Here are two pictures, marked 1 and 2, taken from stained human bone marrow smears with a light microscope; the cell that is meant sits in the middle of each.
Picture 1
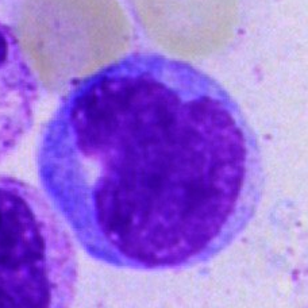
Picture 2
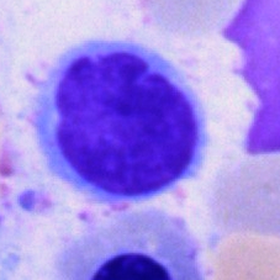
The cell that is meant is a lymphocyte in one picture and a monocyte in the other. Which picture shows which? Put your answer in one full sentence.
Picture 1 shows a monocyte and picture 2 shows a lymphocyte.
